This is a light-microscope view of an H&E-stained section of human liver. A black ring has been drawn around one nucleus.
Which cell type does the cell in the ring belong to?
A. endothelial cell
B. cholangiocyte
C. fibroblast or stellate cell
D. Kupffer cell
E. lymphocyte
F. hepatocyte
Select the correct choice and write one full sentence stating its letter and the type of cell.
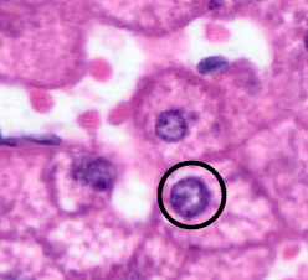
As the cell in the ring is a hepatocyte, the correct choice is option F.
